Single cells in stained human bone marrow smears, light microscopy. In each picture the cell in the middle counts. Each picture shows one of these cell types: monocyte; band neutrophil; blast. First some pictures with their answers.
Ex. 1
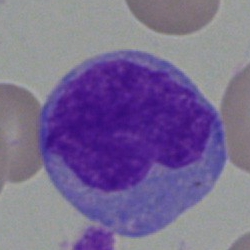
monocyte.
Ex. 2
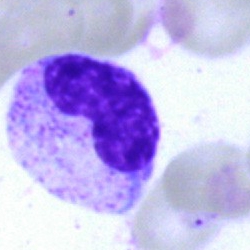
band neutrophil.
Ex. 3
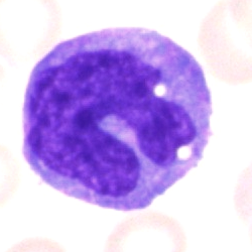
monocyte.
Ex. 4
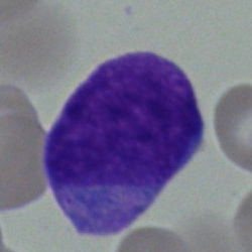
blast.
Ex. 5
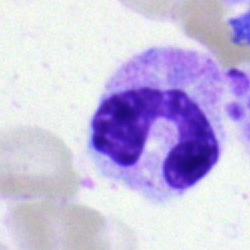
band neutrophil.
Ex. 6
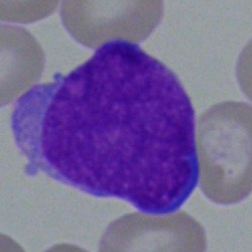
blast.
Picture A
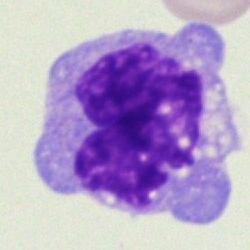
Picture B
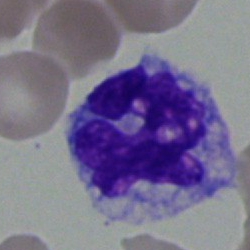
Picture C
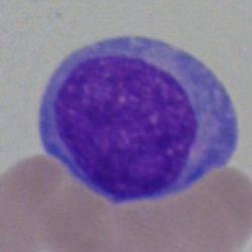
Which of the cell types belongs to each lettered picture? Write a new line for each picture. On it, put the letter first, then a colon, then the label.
A: monocyte.
B: monocyte.
C: blast.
